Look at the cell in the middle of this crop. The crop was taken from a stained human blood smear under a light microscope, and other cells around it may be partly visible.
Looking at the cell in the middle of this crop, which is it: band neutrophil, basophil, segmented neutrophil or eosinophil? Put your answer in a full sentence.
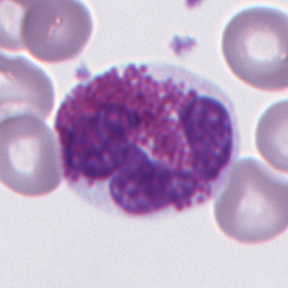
The cell sitting right in the middle is an eosinophil.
